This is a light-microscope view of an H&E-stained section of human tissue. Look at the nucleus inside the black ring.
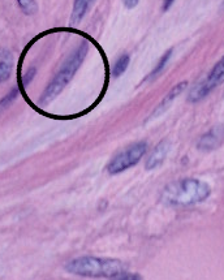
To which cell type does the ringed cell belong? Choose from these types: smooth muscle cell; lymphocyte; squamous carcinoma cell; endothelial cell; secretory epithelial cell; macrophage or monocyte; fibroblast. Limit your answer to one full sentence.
Within this tissue, the ringed cell is a smooth muscle cell.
